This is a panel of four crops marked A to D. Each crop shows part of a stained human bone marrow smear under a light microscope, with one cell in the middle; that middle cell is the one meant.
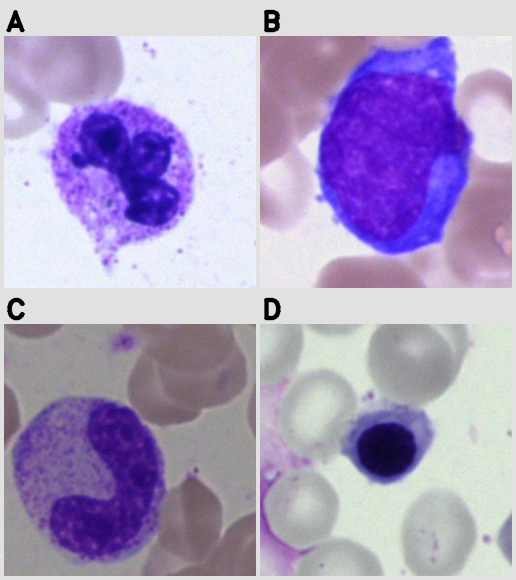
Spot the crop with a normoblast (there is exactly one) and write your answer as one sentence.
Here the crop that shows a normoblast is crop D.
